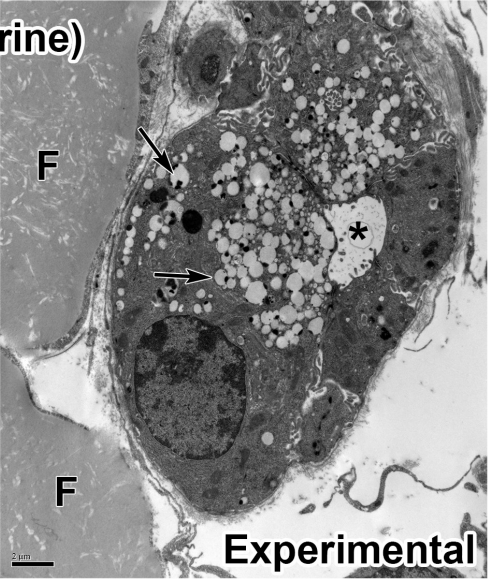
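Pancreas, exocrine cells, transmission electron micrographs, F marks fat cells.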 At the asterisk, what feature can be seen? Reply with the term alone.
lumen of acini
